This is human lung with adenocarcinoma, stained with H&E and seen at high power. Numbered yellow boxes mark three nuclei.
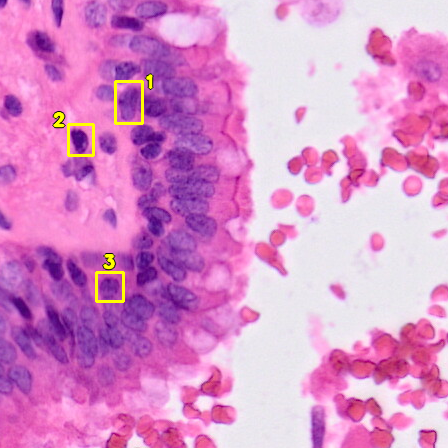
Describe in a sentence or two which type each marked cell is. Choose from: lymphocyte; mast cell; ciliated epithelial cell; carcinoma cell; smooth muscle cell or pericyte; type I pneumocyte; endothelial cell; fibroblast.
Cells 1 and 3 are ciliated epithelial cells. Cell 2 is a lymphocyte.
